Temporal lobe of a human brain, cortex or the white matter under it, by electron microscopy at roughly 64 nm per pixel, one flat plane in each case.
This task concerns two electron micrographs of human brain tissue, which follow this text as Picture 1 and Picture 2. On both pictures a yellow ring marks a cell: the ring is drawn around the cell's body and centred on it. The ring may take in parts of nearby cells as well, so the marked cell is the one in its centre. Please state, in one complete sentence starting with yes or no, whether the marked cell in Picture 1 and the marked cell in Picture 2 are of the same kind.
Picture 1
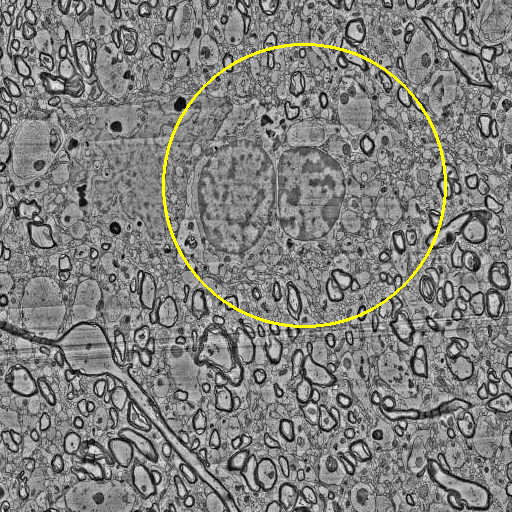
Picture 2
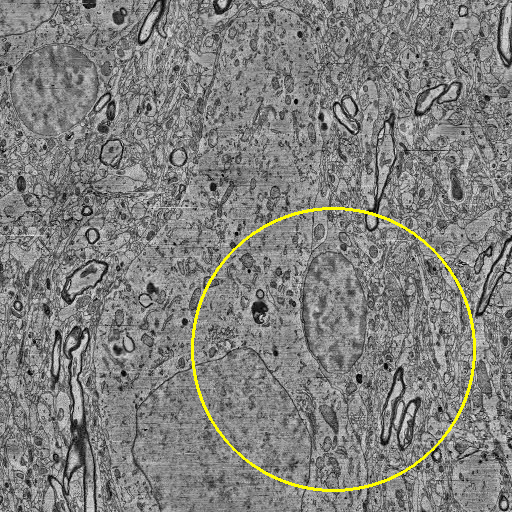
No, the marked cells in the two pictures are of two kinds.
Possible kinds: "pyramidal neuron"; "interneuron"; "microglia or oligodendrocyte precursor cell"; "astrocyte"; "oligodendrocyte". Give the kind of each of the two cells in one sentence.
The cell in the second picture is an oligodendrocyte, and that in the first is a microglial cell or oligodendrocyte precursor cell.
